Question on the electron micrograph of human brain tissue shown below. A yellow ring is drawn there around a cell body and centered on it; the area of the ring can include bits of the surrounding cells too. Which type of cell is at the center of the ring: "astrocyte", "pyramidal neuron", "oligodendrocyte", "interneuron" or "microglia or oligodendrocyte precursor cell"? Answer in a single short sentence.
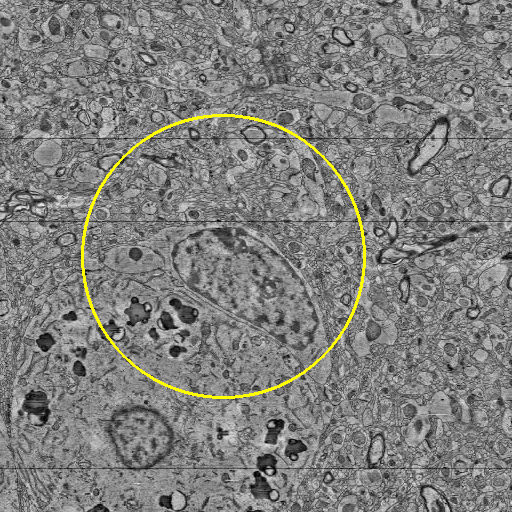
The ring is centered on a microglial cell or oligodendrocyte precursor cell.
